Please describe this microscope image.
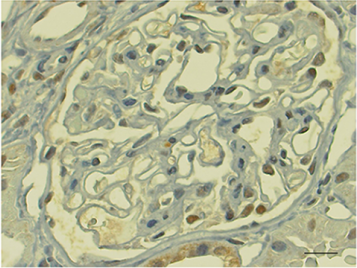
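Renal glomerulus cut through its tuft, set in a pale yellowish field with a thin capsule around it. Capillary loops are open and thin-walled, with small dark nuclei along them. A few nuclei in and around the tuft take a brown tone, most are blue-grey. Fine brown granular material lies at places within the loops and the urinary space. Tubule profiles with epithelial cells border the glomerulus.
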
